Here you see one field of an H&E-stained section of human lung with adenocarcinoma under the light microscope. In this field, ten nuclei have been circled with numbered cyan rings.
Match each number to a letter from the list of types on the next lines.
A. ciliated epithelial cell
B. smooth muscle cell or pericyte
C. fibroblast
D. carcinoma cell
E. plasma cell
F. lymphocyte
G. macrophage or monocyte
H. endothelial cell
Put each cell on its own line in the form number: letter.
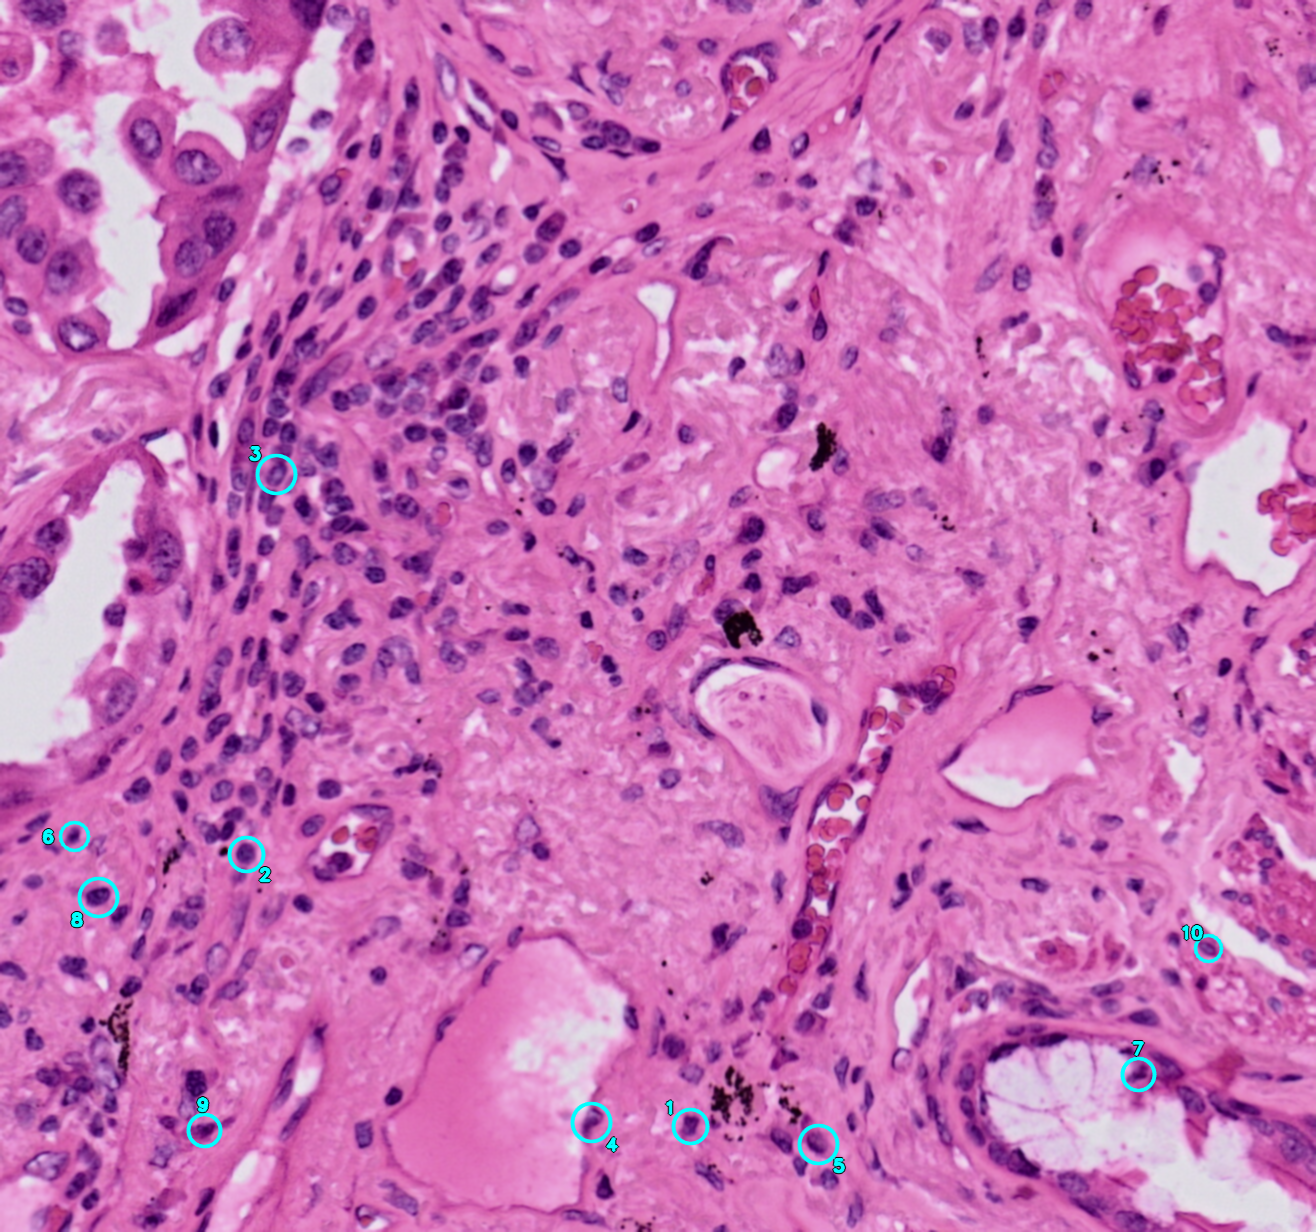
1: E
2: F
3: F
4: H
5: E
6: F
7: A
8: F
9: E
10: B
